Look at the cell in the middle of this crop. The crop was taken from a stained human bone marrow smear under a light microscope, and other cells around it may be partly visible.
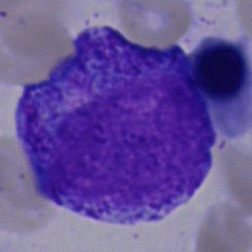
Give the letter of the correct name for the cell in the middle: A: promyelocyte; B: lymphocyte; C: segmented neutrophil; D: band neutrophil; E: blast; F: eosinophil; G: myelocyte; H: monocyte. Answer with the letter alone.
A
